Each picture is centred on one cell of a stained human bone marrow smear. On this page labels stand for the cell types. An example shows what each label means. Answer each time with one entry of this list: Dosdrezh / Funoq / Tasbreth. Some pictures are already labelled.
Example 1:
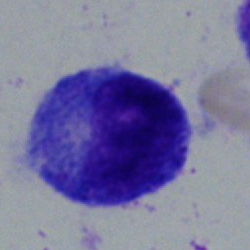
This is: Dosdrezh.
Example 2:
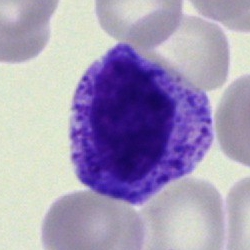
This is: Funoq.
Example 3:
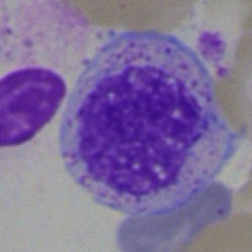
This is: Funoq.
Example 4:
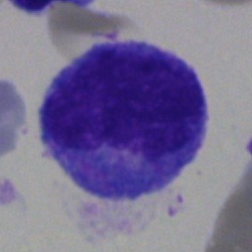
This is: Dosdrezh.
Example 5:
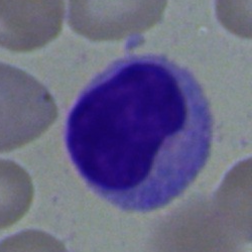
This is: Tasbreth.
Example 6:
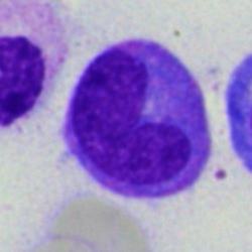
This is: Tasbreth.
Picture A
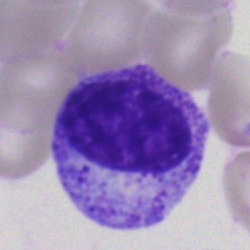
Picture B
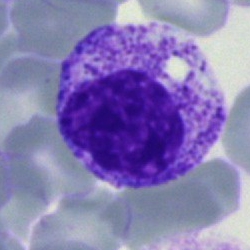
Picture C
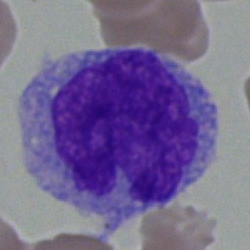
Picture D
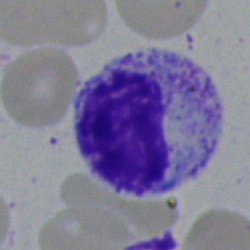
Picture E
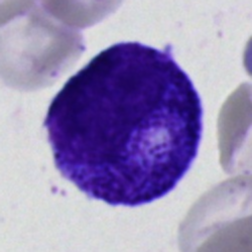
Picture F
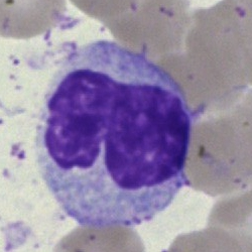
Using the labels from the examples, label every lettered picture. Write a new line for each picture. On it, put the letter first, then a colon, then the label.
A: Funoq.
B: Funoq.
C: Tasbreth.
D: Funoq.
E: Dosdrezh.
F: Tasbreth.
